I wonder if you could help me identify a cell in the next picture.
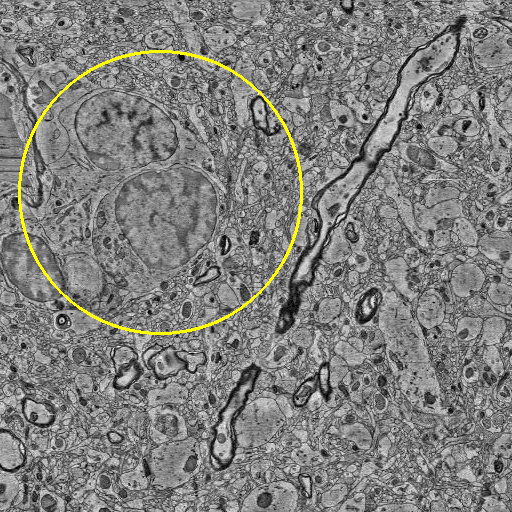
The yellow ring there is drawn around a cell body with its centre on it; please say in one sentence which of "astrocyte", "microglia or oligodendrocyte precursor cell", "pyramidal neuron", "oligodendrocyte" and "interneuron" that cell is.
The yellow ring is centred on an oligodendrocyte.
